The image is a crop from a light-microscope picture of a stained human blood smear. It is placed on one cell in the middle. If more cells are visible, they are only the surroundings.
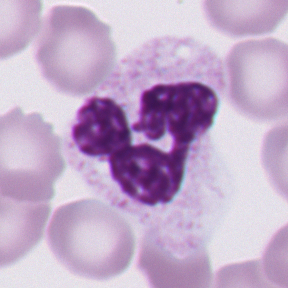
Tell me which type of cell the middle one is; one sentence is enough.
Regarding the central cell, it is a neutrophil.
